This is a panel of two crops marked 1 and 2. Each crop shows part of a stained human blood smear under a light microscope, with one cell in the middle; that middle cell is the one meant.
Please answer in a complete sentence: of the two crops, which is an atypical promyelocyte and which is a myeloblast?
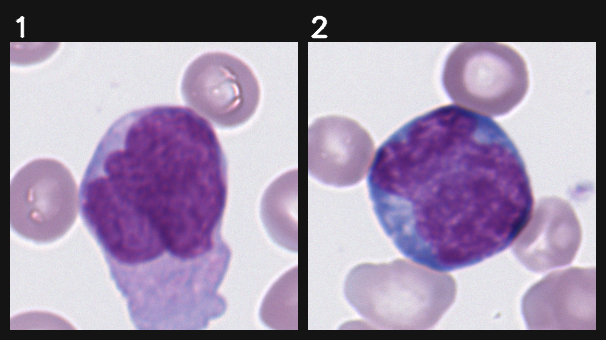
Crop 1 and crop 2 are an atypical promyelocyte and a myeloblast, in that order.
